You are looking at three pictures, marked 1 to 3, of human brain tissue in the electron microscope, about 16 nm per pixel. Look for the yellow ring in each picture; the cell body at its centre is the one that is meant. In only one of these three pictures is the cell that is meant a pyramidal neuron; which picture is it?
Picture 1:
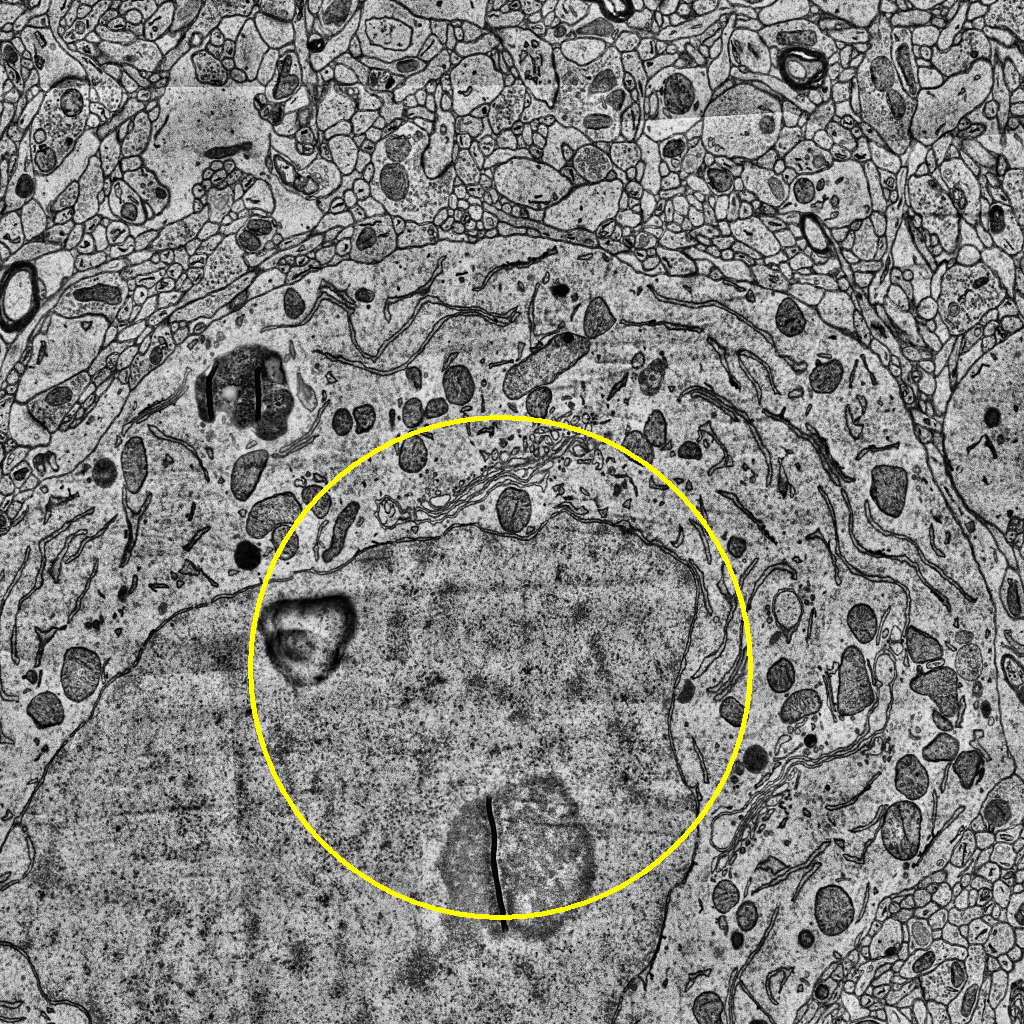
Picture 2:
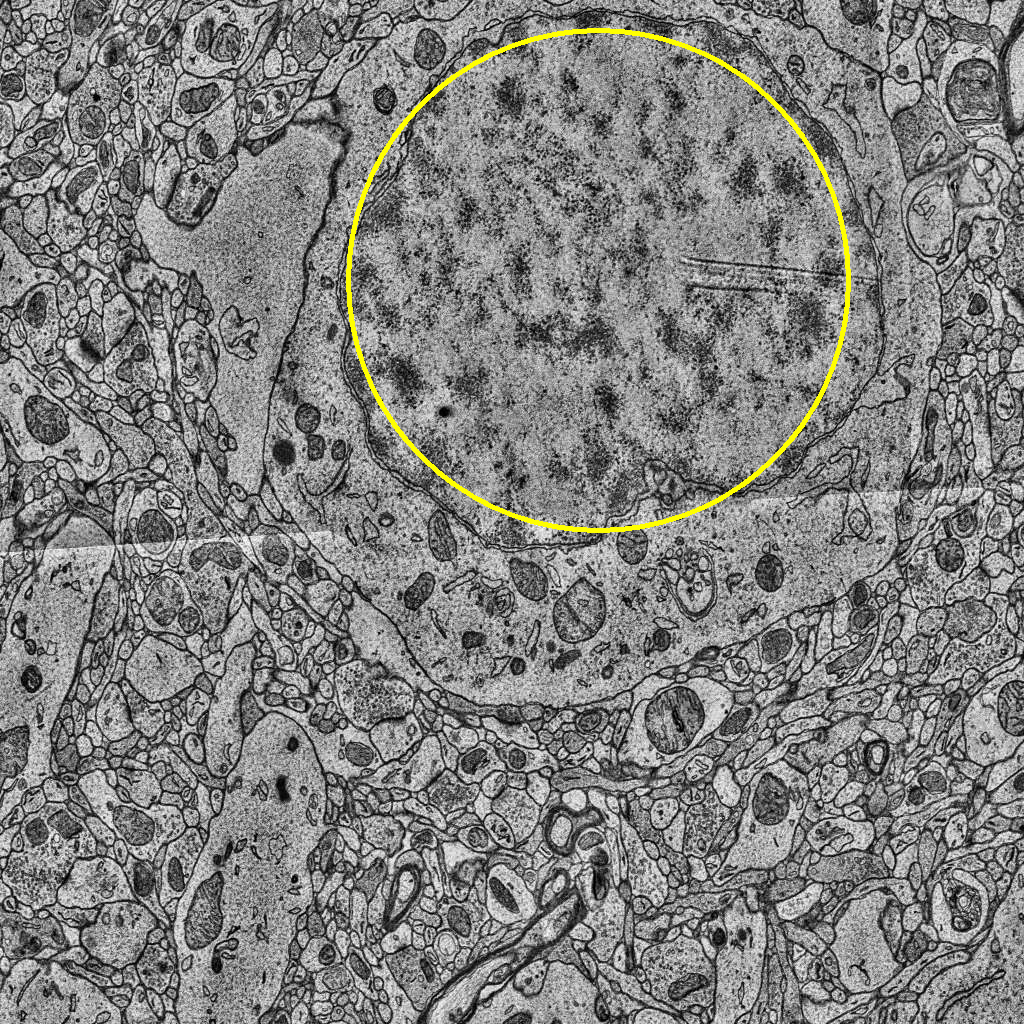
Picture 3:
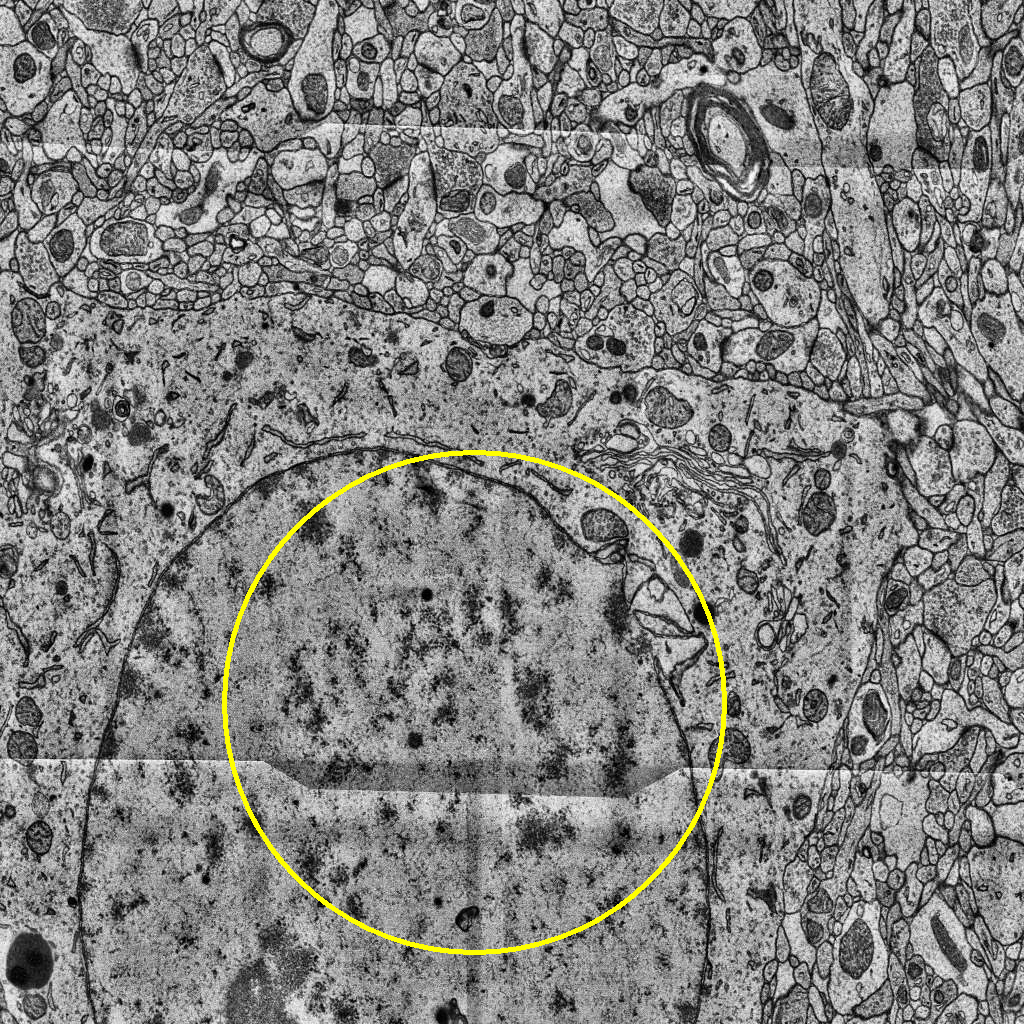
The picture with the pyramidal neuron is 3.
